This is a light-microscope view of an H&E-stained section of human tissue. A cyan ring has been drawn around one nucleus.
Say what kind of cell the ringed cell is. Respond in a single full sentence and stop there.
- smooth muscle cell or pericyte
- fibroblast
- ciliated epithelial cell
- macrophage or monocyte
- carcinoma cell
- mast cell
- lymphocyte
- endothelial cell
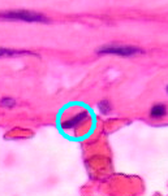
As to its cell type, the ringed cell is an endothelial cell.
